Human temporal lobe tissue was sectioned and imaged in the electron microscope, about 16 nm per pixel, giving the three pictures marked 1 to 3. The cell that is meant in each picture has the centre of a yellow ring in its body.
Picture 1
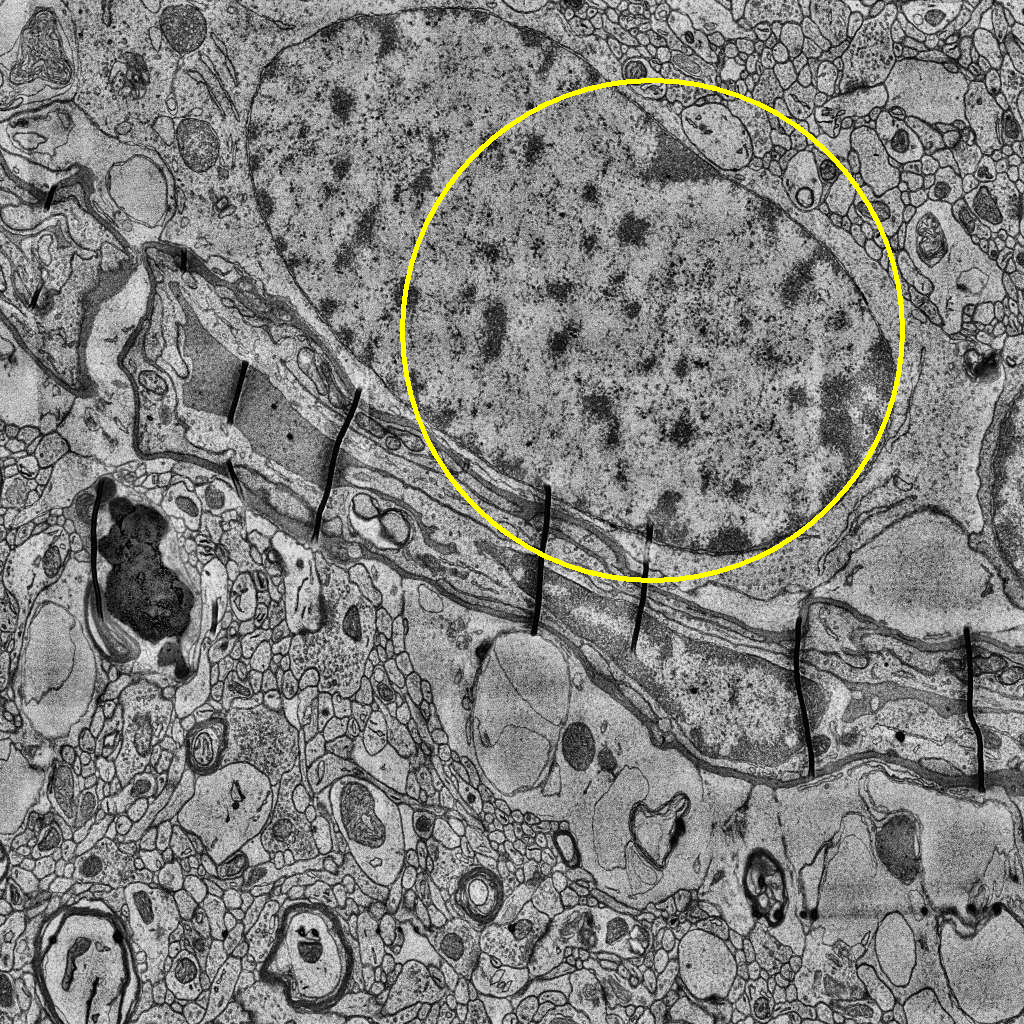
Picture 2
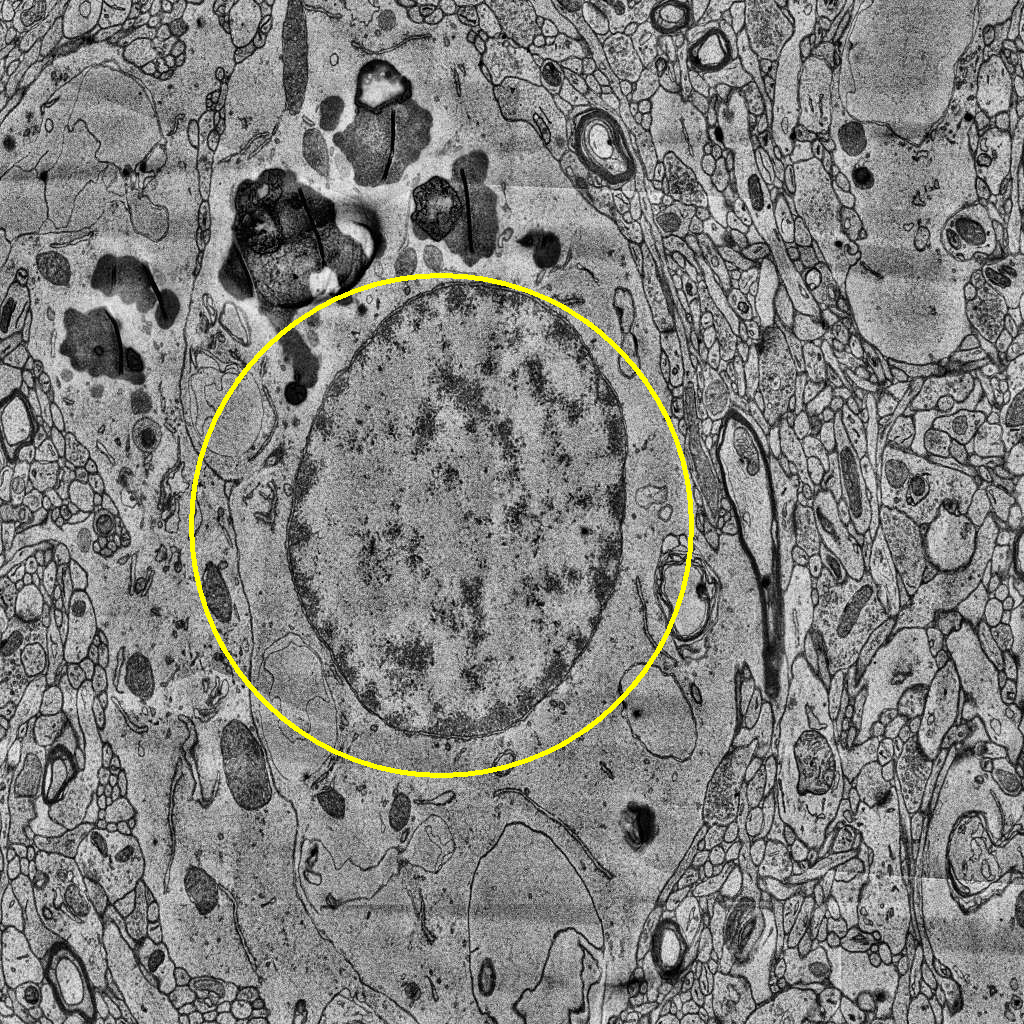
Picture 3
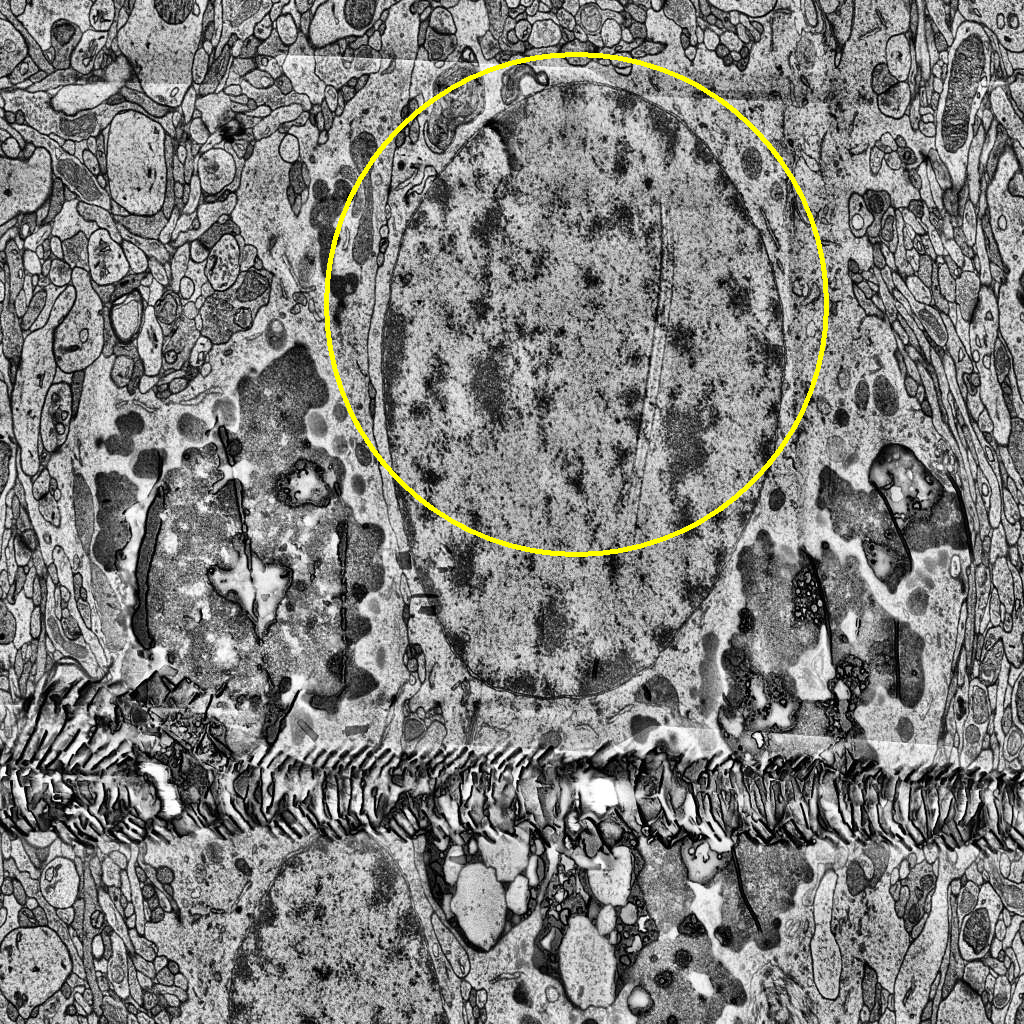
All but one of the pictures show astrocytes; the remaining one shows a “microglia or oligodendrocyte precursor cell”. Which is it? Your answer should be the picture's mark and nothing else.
1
